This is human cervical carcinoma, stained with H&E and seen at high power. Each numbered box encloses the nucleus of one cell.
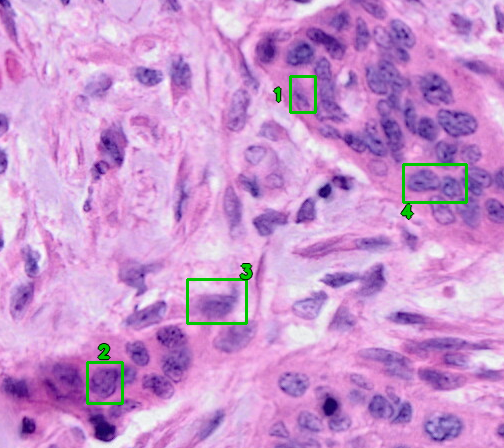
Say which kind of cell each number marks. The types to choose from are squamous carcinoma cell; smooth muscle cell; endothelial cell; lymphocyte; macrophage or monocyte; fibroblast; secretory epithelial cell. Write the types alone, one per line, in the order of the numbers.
squamous carcinoma cell
squamous carcinoma cell
fibroblast
squamous carcinoma cell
